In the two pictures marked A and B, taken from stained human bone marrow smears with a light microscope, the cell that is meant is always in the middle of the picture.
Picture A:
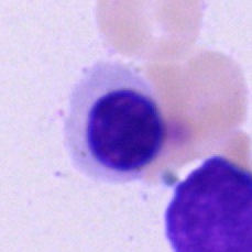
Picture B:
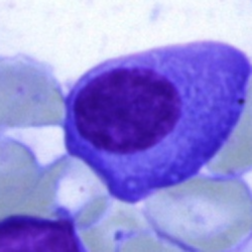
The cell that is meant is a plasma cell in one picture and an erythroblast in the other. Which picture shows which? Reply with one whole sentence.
Picture A shows an erythroblast and picture B shows a plasma cell.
